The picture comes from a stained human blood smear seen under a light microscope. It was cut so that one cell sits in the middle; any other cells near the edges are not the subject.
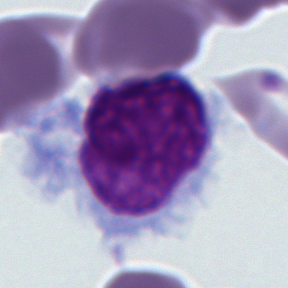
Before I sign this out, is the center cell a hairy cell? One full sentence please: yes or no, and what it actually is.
Yes, a hairy cell is the cell positioned in the middle of the field.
